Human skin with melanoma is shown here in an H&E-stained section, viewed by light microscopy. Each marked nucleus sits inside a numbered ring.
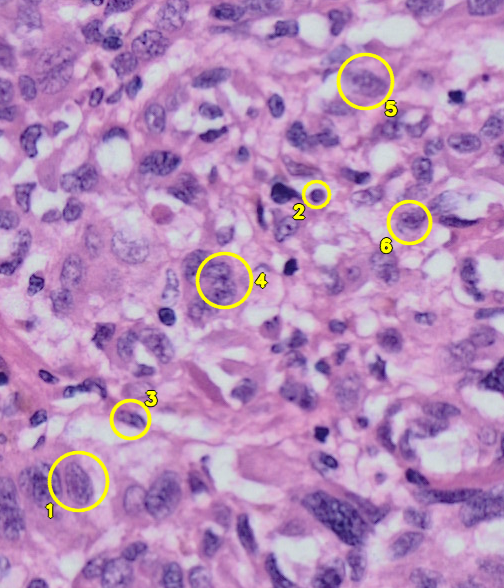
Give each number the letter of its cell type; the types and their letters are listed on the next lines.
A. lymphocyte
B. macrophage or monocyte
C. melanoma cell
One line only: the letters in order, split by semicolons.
C; A; B; C; C; C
